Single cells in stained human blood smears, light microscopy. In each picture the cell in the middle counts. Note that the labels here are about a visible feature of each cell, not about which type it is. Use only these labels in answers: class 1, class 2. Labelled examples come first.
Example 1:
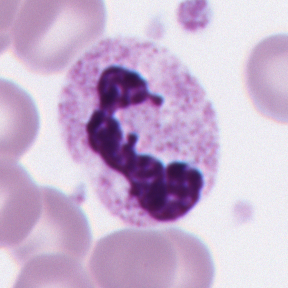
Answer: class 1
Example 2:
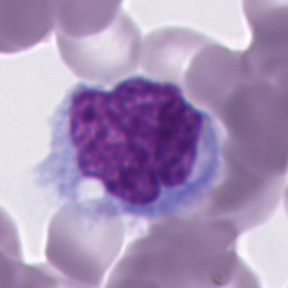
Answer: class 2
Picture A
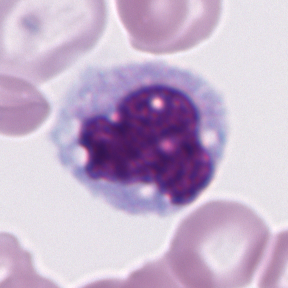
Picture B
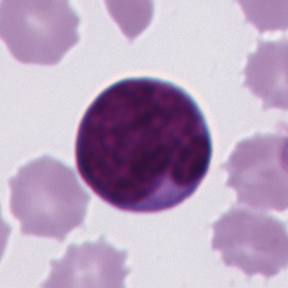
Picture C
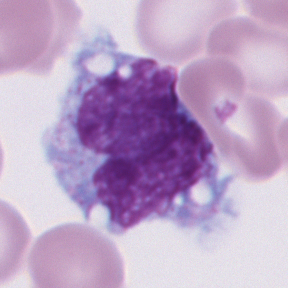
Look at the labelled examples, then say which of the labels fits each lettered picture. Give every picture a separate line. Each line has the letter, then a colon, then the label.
A: class 2
B: class 1
C: class 2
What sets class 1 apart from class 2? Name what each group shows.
Seen in class 1: no vacuoles; seen in class 2: vacuoles present.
